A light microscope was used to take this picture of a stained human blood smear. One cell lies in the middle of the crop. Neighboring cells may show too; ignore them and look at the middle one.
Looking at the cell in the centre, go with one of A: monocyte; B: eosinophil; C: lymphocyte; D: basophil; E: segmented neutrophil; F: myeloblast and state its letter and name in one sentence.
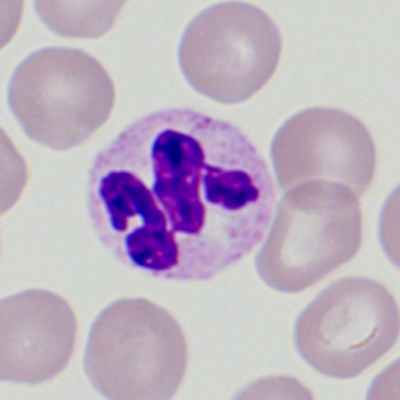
Option E is correct, and the cell in the centre is a segmented neutrophil.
